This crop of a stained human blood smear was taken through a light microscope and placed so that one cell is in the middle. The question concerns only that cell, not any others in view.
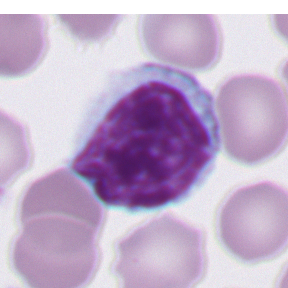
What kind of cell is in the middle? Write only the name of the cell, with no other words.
typical lymphocyte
